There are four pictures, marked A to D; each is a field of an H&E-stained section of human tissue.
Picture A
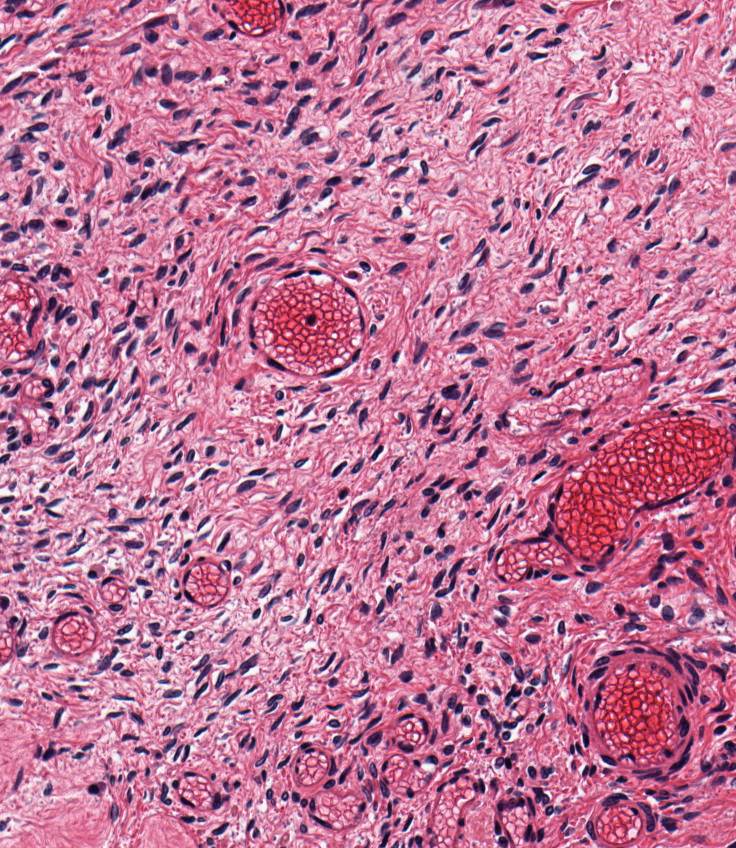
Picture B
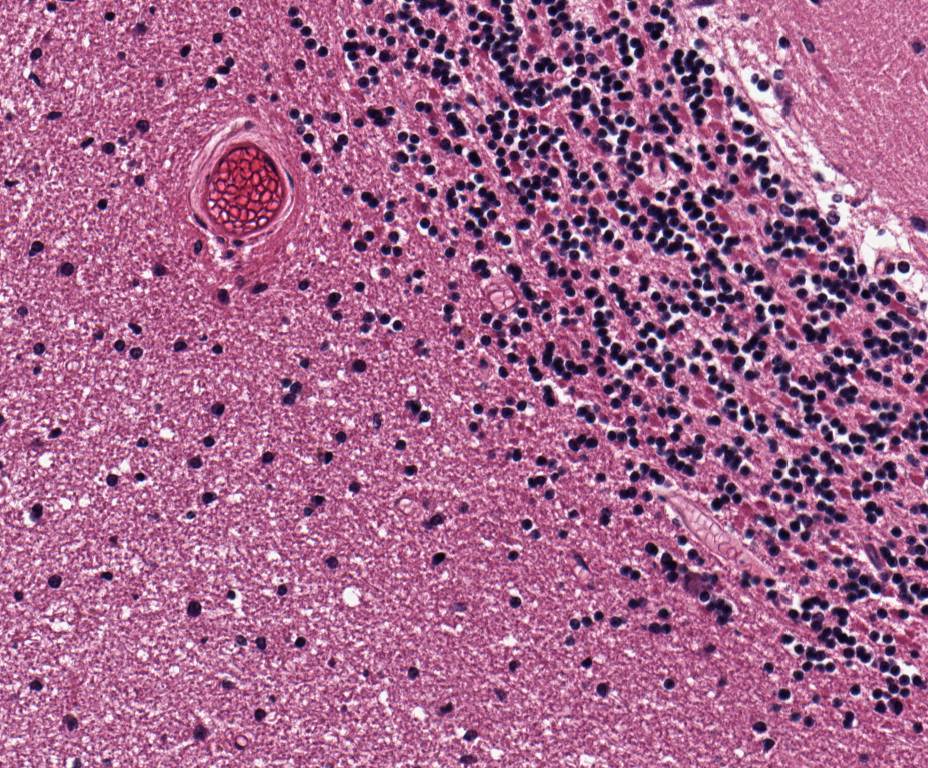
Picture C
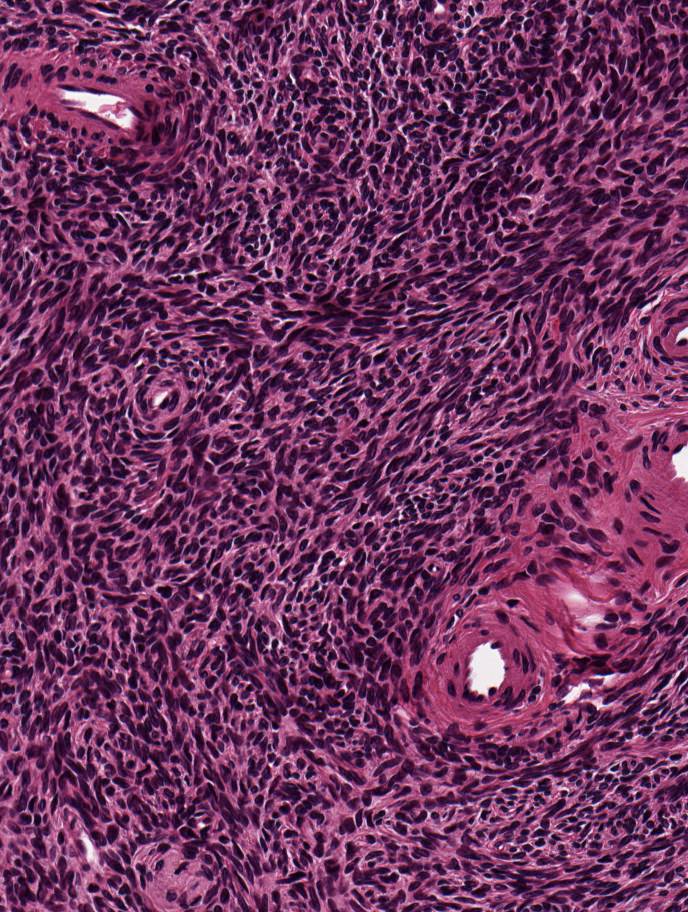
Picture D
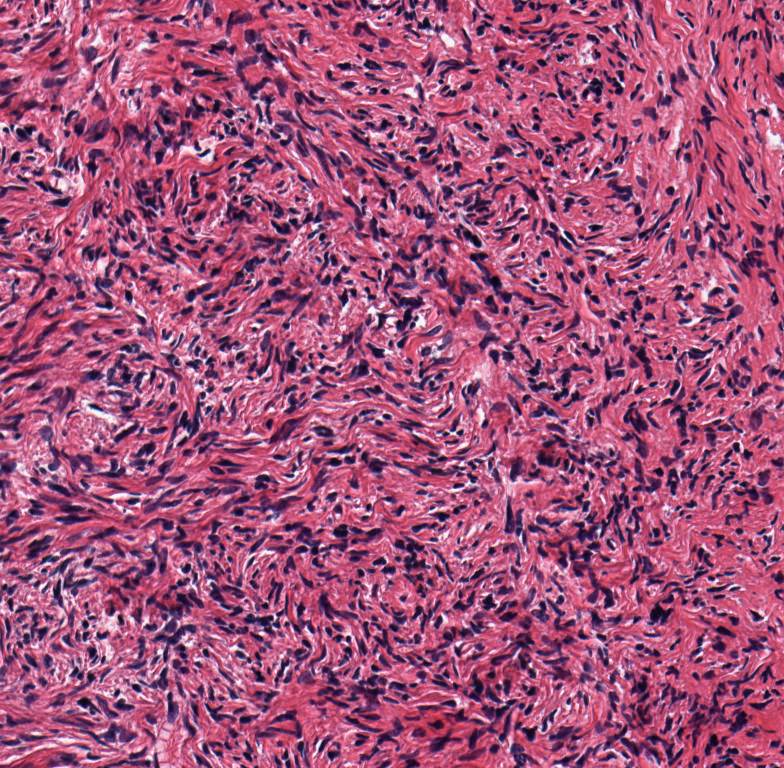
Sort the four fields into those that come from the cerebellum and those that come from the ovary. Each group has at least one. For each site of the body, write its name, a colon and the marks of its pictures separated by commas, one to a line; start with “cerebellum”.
cerebellum: B
ovary: A, C, D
